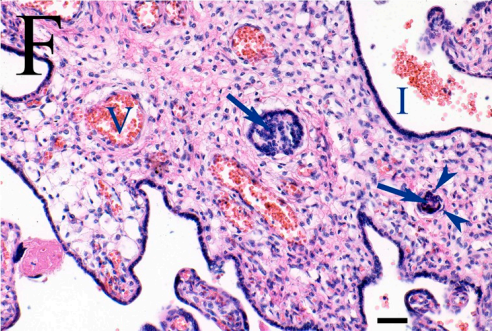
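This shows chorionic villi with loose, cellular pink stroma containing several vessels filled with red blood cells, one larger vessel with a thick wall. The villi are covered by a thin trophoblast layer with dark nuclei, and the intervillous space beside them holds free red blood cells. Within one villus lie two inclusions in the stroma: a large, round clump of dark purple nuclei, and a smaller round inclusion with a dark centre ringed by cells. Both look like islands of trophoblast-like cells set apart from the surrounding stromal cells.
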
